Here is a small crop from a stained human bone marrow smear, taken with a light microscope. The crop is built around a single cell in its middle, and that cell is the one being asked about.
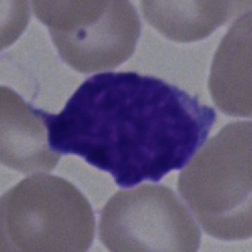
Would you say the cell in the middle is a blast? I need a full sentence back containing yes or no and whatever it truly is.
Yes, the cell sitting in the center is a blast.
